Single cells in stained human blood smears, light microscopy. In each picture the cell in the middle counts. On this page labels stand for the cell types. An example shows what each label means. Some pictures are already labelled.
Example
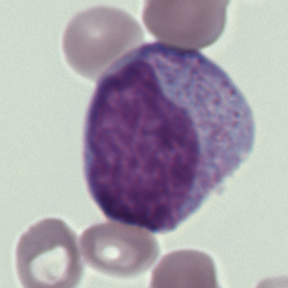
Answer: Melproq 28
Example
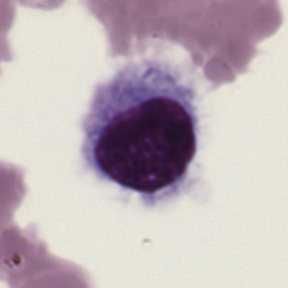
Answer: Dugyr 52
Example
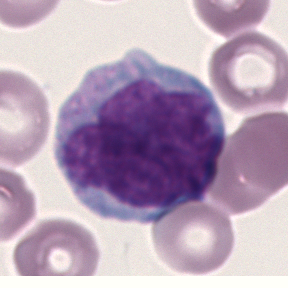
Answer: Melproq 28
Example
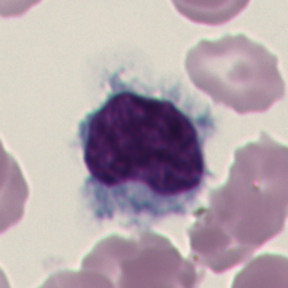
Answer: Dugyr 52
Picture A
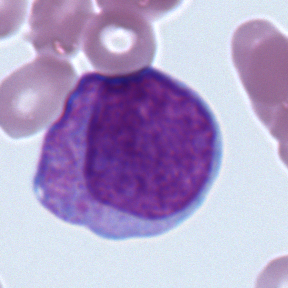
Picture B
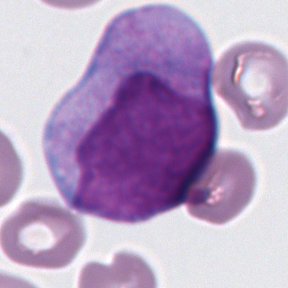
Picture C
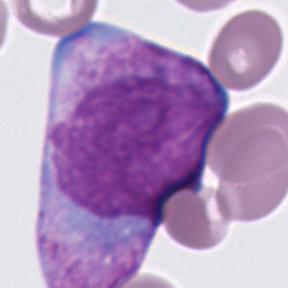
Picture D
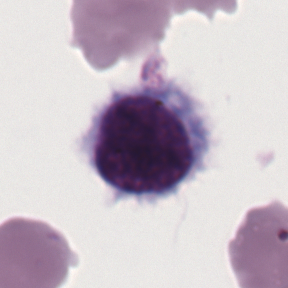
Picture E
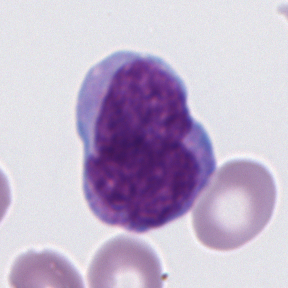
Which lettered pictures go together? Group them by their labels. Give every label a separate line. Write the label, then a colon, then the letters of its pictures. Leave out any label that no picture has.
Melproq 28: A, B, C, E
Dugyr 52: D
